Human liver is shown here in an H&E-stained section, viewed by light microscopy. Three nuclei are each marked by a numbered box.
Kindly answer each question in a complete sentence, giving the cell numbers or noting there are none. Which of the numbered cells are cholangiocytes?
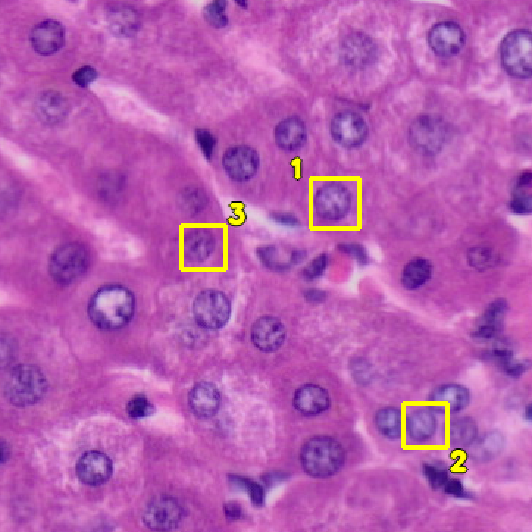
Unlike the other numbered cells, cell 2 is a cholangiocyte.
